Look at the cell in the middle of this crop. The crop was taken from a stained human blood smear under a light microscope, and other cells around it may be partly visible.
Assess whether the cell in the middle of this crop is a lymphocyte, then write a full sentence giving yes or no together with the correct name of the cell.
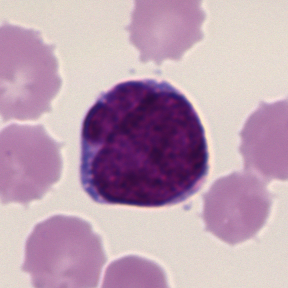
No, the cell found centrally in the crop is a blast, not a lymphocyte.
